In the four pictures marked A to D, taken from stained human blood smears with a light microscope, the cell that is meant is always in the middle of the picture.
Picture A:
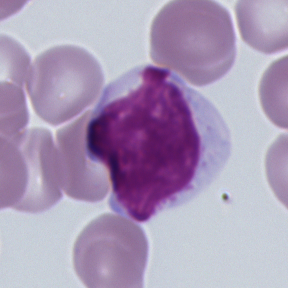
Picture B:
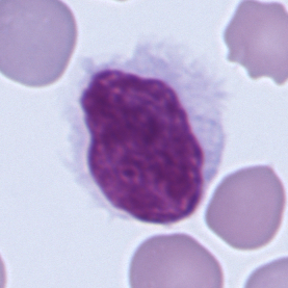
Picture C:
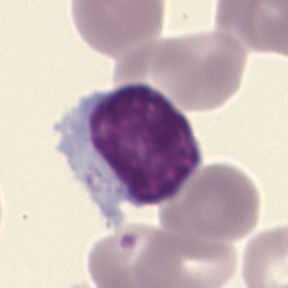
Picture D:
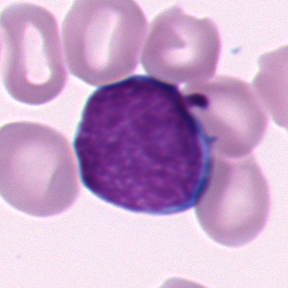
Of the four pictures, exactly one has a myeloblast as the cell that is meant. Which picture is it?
D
